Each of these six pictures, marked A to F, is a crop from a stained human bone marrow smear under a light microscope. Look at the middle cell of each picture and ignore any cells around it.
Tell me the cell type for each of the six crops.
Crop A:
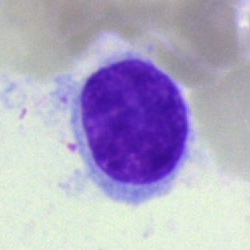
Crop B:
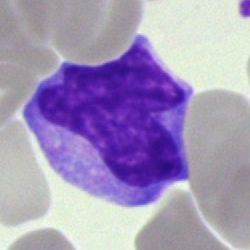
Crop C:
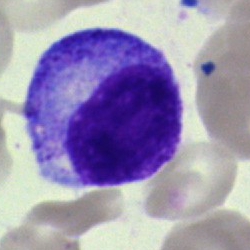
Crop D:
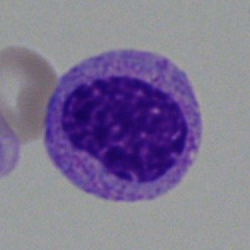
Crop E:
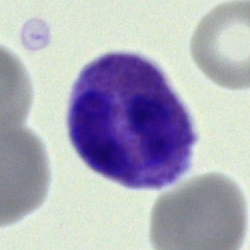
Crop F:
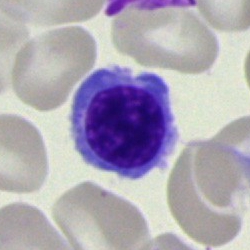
A: hairy cell
B: monocyte
C: promyelocyte
D: metamyelocyte
E: eosinophil
F: normoblast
